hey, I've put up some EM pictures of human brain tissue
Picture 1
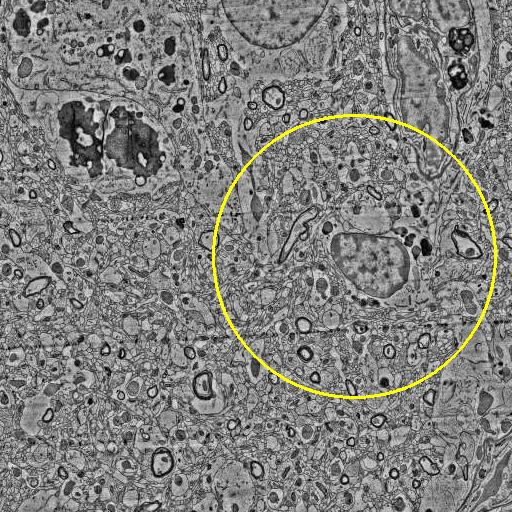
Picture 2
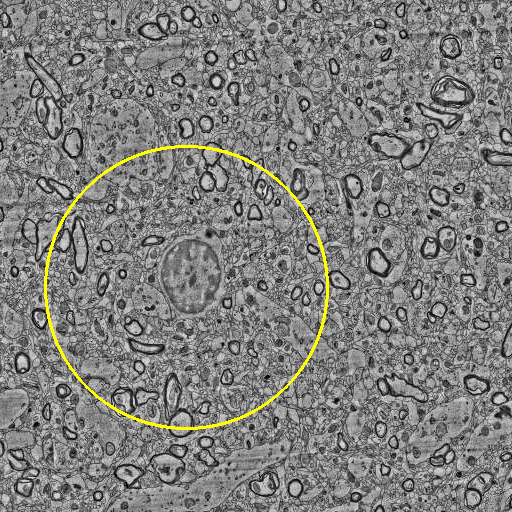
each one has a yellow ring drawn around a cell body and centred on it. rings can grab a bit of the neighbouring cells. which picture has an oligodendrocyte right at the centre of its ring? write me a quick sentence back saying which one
It's Picture 2.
